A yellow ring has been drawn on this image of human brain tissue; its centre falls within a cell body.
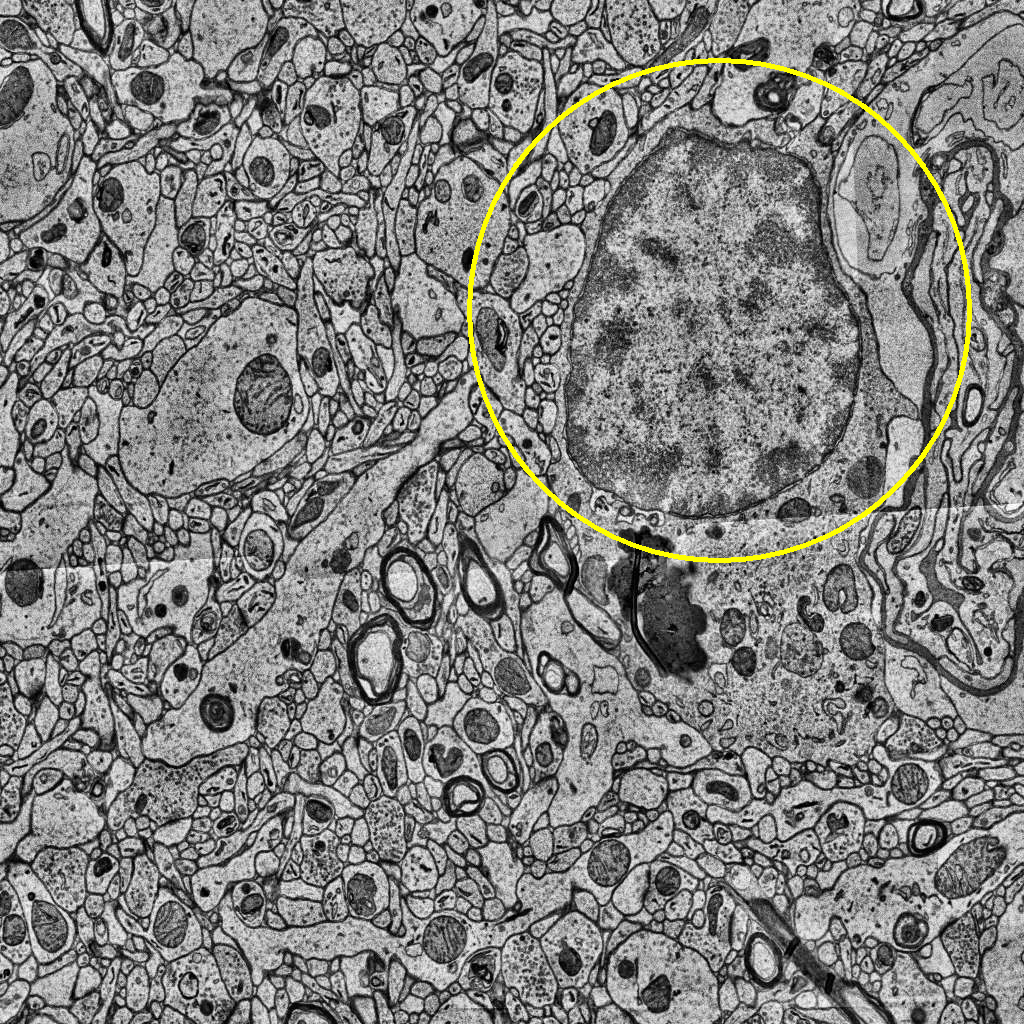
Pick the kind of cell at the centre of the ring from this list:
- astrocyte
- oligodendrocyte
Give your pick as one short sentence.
The centre of the ring holds an oligodendrocyte.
